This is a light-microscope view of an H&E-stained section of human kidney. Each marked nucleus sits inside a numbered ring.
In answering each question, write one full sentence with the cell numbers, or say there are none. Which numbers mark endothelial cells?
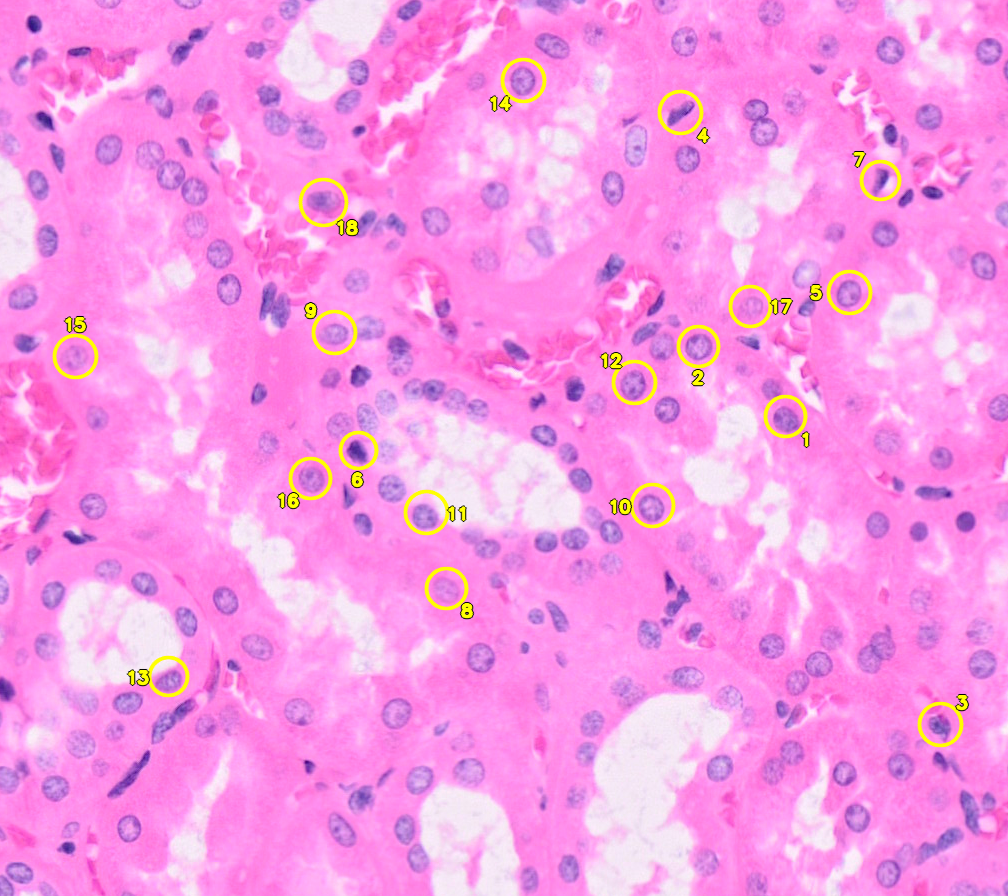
Cells numbered 3, 4, 7 and 18 belong to the group of endothelial cells.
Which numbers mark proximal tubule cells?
Cells 1, 2, 5, 8, 10, 12, 14, 15, 16 and 17 share one type; they are proximal tubule cells.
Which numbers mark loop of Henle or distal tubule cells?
Cells numbered 6, 11 and 13 belong to the group of loop of Henle or distal tubule cells.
